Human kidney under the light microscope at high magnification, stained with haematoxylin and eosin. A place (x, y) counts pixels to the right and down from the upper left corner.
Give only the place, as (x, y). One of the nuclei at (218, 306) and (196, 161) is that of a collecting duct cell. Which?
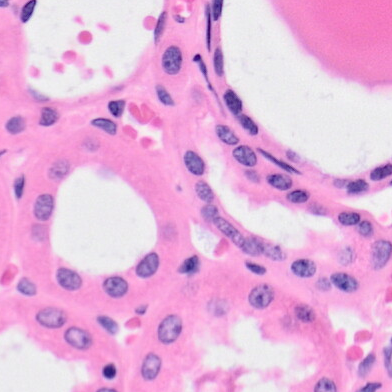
(196, 161)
